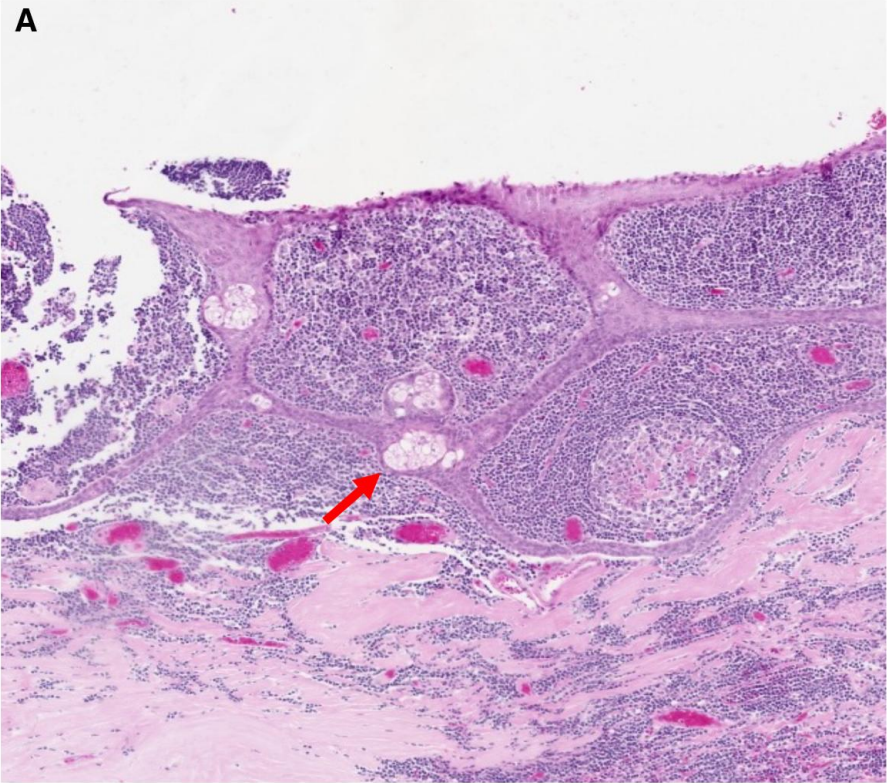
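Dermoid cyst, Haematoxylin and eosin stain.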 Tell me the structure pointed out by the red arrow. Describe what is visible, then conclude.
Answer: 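Small rounded nests of pale, foamy vacuolated cells. The nests lie within thin pink epithelial bands.
Hence: sebaceous glands.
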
